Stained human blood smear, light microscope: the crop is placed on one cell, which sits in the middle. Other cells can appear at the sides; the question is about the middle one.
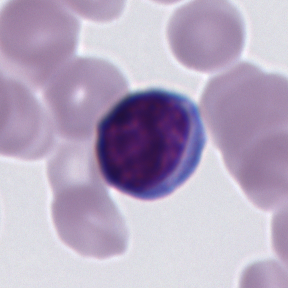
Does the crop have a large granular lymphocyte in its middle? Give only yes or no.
no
